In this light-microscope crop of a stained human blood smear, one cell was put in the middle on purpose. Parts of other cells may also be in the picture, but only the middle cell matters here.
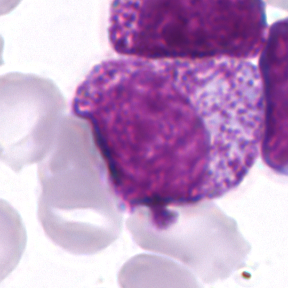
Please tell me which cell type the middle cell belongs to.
myelocyte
